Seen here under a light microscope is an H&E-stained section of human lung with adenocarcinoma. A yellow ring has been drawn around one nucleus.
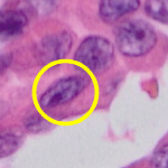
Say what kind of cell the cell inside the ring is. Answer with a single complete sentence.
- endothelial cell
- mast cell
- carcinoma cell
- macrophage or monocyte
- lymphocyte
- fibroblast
Placed in its cell category, the cell inside the ring is a carcinoma cell.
